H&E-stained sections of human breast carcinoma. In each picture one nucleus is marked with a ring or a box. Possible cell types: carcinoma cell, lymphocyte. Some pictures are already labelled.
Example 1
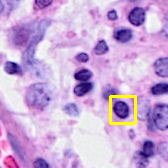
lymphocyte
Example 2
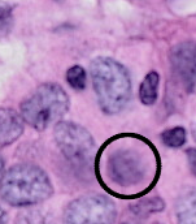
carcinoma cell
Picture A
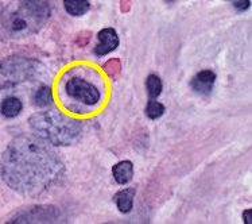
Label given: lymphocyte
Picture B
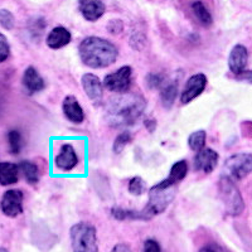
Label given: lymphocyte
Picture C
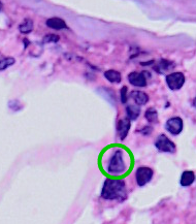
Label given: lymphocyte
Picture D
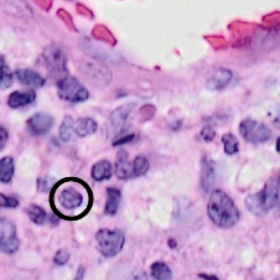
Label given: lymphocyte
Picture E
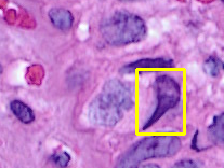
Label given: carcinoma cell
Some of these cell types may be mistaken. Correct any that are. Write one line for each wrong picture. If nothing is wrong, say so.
All correct.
